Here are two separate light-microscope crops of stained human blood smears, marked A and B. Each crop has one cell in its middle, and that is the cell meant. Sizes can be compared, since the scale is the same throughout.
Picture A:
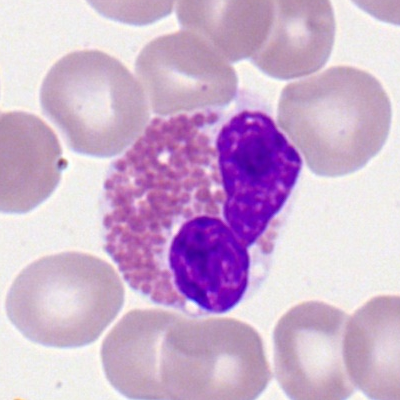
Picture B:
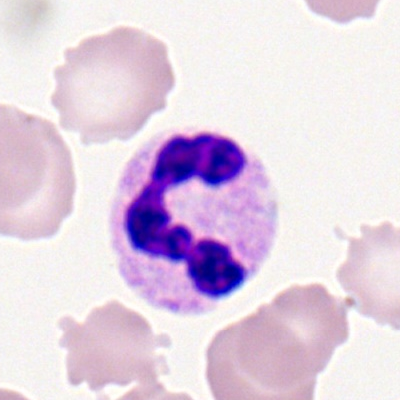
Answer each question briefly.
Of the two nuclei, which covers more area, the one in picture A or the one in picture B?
A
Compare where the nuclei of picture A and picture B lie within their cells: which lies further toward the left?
B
